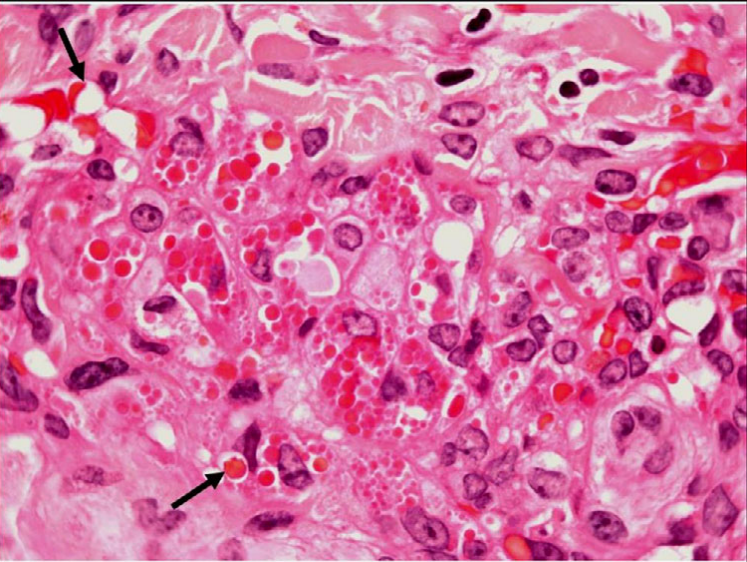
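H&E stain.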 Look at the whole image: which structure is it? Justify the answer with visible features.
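Many small, round, glassy, bright red-pink globules of varying size are scattered through the field. Many of the globules cluster within the pale cytoplasm of cells. Some globules lie between cells. That points to this answer: eosinophilic hyaline globules.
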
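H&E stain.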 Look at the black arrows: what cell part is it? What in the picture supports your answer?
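Paranuclear vacuoles containing erythrocytes. Each black arrow points to a clear round space lying next to a cell nucleus.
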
